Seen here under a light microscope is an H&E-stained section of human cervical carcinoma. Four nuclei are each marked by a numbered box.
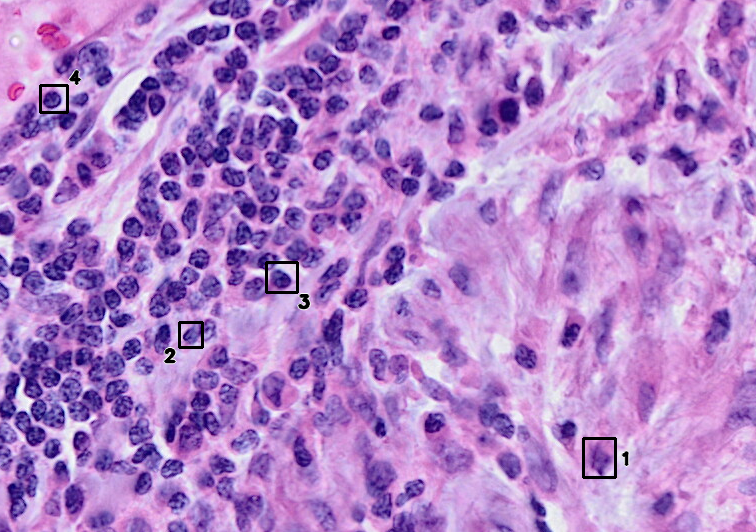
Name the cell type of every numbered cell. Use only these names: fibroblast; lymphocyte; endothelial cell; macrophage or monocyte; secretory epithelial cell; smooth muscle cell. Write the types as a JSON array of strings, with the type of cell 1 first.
["macrophage or monocyte", "lymphocyte", "lymphocyte", "lymphocyte"]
